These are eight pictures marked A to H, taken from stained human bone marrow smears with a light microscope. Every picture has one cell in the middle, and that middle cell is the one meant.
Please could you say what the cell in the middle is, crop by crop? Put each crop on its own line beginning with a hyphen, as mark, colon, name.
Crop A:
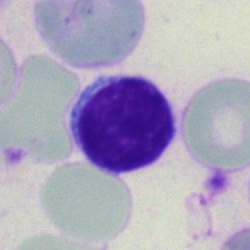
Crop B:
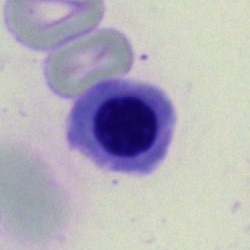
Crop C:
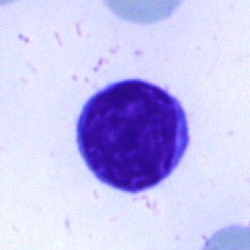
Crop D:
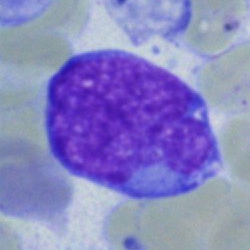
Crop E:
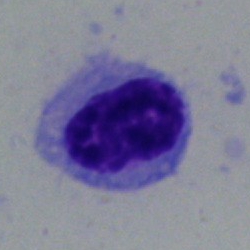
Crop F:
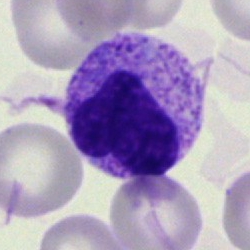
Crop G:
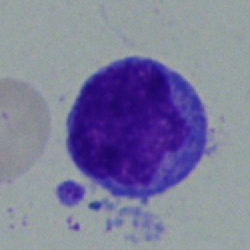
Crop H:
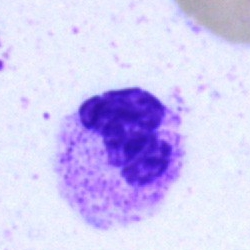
- A: lymphocyte
- B: erythroblast
- C: lymphocyte
- D: blast
- E: hairy cell
- F: metamyelocyte
- G: blast
- H: segmented neutrophil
